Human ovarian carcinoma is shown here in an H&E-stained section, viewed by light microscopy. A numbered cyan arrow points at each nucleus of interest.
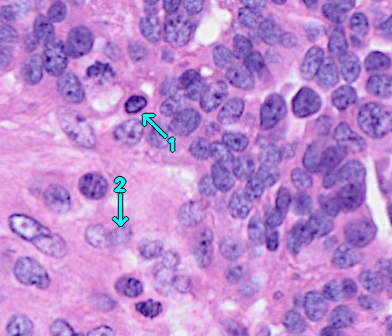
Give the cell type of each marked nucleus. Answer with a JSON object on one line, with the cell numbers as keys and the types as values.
{"1": "macrophage or monocyte", "2": "fibroblast"}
